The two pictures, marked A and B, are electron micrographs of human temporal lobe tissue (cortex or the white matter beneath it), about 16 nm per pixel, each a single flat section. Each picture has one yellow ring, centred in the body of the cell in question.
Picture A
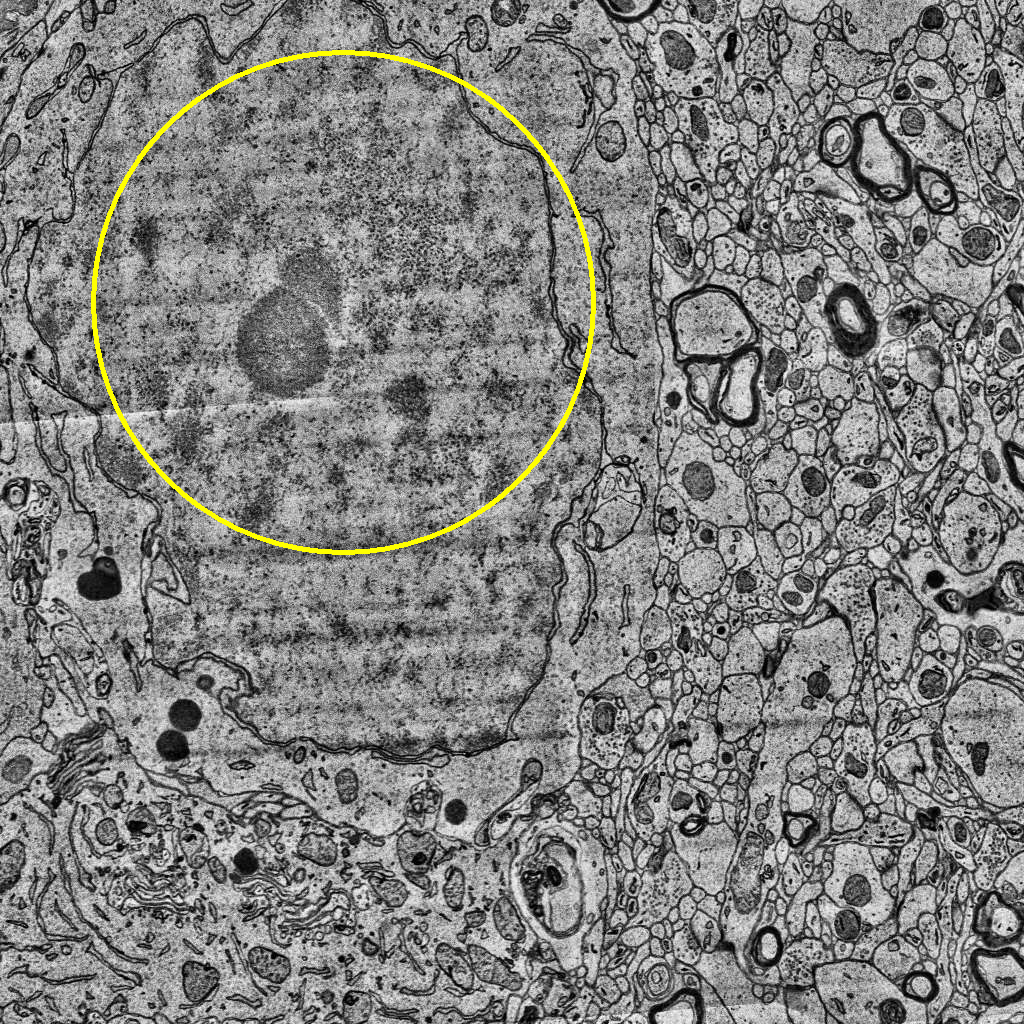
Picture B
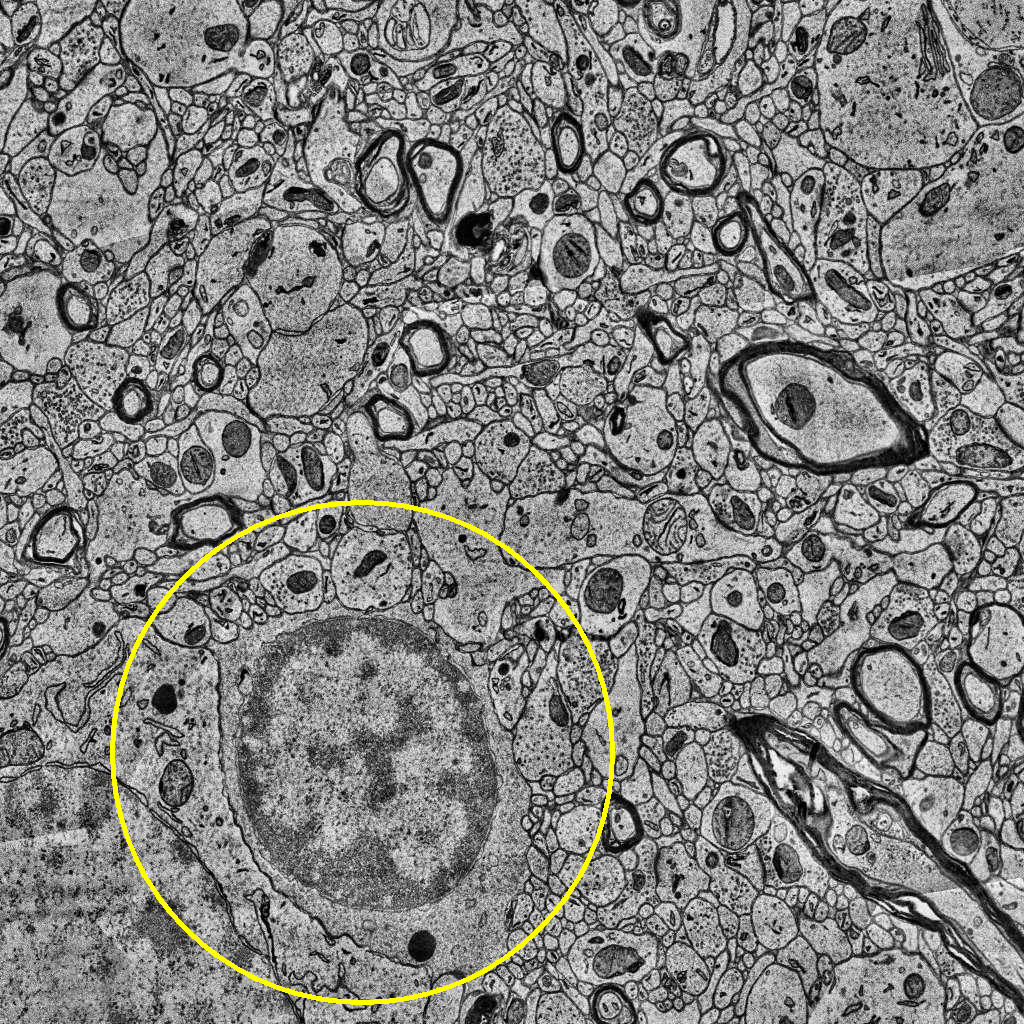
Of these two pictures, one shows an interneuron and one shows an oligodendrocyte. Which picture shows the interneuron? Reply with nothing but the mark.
A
